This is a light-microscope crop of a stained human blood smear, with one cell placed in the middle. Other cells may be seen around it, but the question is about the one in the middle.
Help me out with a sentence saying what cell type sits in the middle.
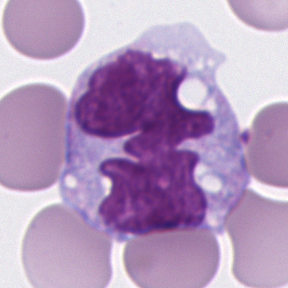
The cell at the heart of this crop is a monocyte.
